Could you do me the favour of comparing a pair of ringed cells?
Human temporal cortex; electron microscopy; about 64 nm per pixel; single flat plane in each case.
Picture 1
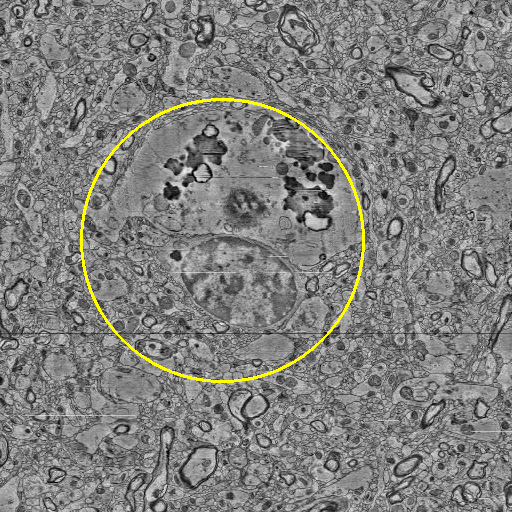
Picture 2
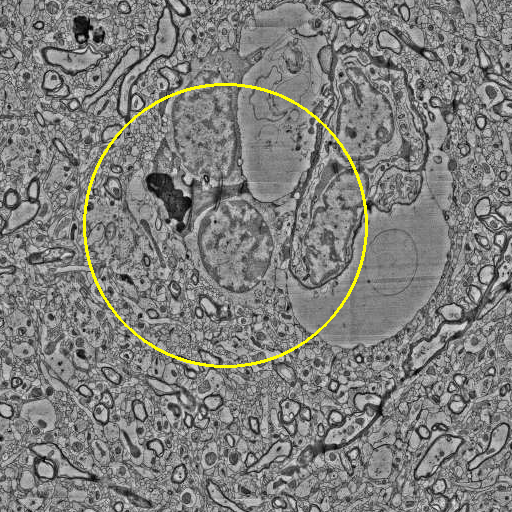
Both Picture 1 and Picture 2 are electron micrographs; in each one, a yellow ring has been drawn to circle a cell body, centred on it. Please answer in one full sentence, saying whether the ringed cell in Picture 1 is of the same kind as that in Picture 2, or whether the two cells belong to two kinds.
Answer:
The ringed cell in Picture 1 is of the same kind as that in Picture 2.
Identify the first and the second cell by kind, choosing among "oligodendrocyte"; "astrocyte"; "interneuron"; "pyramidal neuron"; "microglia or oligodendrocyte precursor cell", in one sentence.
The ring centre holds an oligodendrocyte in each of the two pictures.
